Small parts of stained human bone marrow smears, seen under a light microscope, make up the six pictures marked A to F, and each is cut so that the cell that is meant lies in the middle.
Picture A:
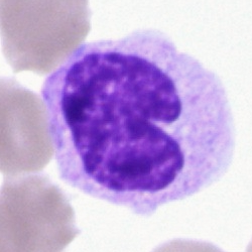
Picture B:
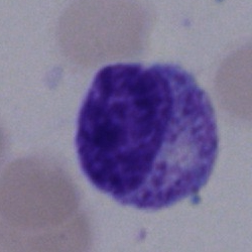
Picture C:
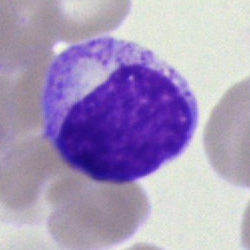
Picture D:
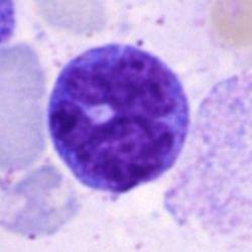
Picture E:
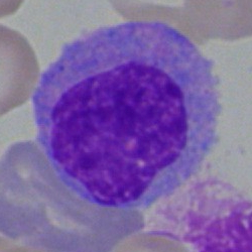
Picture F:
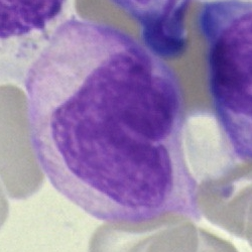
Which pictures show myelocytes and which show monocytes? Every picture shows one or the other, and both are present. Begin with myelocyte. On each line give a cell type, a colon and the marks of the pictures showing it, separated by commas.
myelocyte: B, C
monocyte: A, D, E, F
